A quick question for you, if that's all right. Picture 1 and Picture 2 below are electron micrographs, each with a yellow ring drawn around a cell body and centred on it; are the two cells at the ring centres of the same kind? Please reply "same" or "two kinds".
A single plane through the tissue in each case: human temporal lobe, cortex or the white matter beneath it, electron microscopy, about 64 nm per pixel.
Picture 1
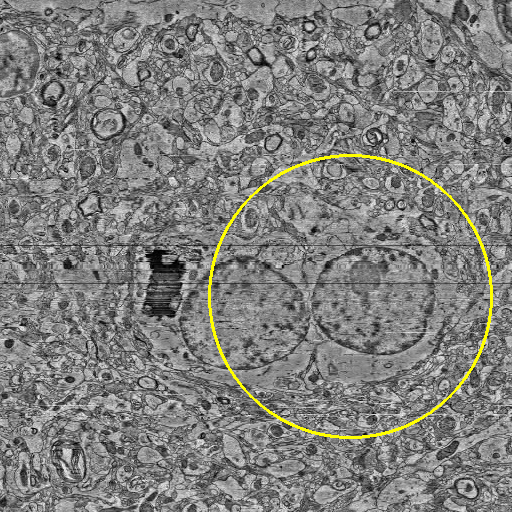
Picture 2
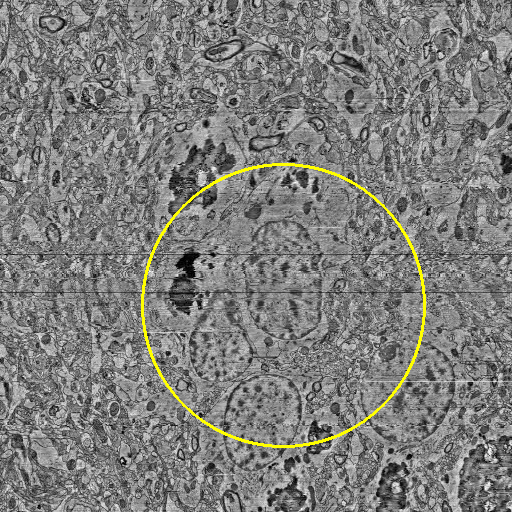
same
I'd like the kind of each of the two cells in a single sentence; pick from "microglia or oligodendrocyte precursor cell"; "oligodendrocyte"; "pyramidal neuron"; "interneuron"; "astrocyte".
Each cell at the centre of a ring is an astrocyte.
